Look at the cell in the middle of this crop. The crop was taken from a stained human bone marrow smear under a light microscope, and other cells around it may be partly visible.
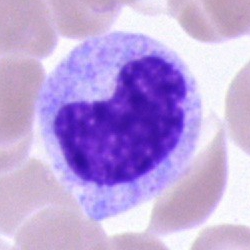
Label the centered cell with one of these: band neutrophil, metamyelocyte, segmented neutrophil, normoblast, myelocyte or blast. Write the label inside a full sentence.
Regarding the central cell, it is a metamyelocyte.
